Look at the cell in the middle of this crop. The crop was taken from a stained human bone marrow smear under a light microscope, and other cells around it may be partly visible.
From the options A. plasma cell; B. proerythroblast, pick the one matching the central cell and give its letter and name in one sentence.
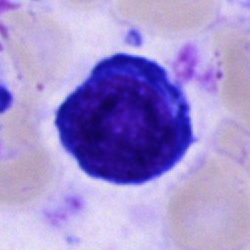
Of the options given, B is correct, the central cell being a proerythroblast.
